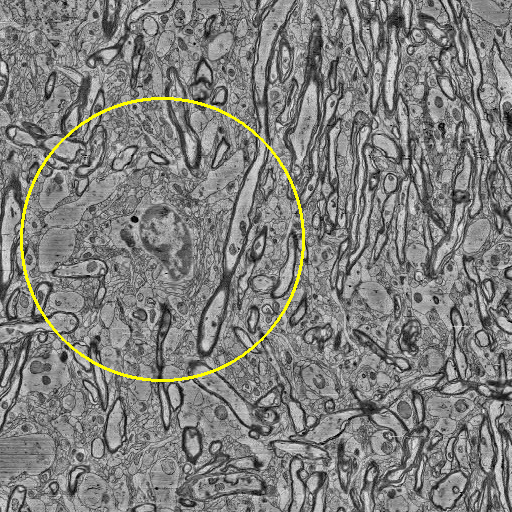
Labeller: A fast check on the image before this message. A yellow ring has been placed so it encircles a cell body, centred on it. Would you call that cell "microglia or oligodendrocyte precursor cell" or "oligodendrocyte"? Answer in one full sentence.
In this image, a microglial cell or oligodendrocyte precursor cell is the cell on which the yellow ring is centred.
